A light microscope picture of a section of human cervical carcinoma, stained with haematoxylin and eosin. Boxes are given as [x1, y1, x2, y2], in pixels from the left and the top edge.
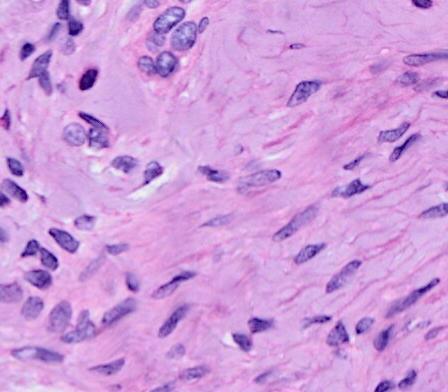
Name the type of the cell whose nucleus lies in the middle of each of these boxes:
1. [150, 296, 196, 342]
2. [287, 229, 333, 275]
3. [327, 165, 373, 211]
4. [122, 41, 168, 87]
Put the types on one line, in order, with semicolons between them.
fibroblast; fibroblast; fibroblast; endothelial cell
